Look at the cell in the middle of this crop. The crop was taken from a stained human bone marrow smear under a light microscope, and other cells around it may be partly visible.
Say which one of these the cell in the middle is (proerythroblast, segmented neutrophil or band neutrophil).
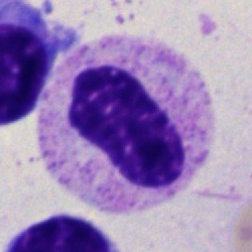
band neutrophil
